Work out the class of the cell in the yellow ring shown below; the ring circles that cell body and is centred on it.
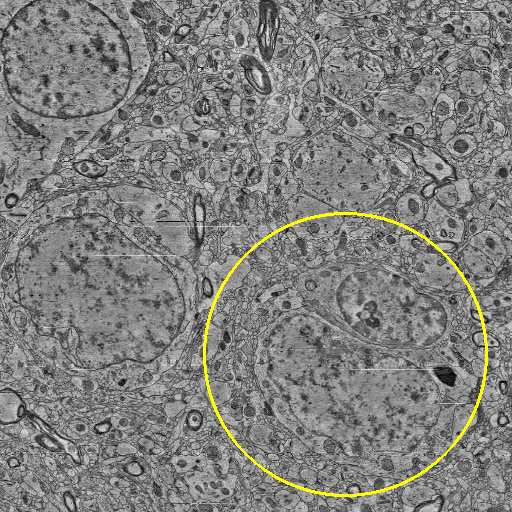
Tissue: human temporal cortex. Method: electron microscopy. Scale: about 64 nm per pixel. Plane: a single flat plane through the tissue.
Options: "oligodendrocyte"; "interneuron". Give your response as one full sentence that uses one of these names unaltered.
The body ringed in yellow, right at the ring's centre, is that of an interneuron.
